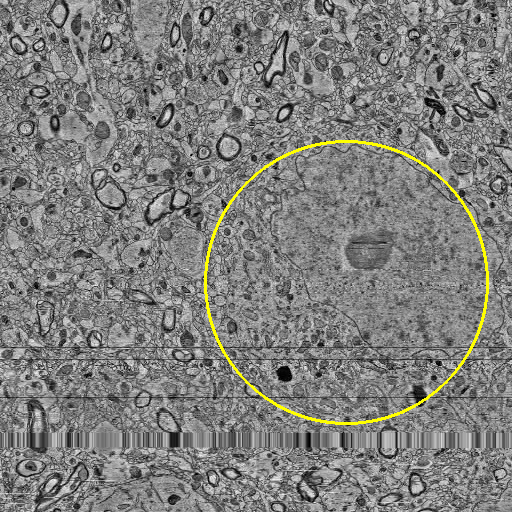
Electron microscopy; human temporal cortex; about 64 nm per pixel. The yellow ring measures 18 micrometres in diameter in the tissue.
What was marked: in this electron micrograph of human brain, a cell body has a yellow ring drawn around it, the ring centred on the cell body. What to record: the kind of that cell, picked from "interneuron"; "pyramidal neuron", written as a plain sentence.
The centred cell is a pyramidal neuron.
